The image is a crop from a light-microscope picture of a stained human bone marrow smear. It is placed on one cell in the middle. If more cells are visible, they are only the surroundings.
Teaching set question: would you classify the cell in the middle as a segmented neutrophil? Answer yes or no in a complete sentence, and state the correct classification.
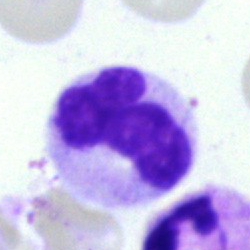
No, the cell in the middle is a band neutrophil; it is not a segmented neutrophil.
